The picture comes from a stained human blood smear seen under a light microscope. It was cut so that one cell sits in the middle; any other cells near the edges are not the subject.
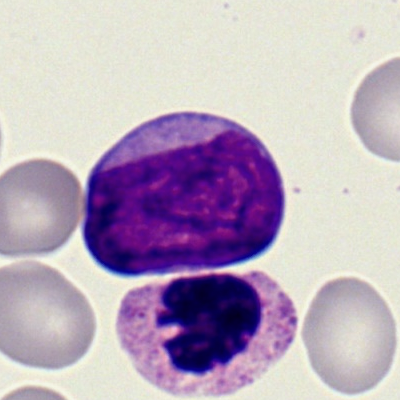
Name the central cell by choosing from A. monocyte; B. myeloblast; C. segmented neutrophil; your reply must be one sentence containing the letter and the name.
The cell positioned centrally is a myeloblast, as given in option B, which is correct.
